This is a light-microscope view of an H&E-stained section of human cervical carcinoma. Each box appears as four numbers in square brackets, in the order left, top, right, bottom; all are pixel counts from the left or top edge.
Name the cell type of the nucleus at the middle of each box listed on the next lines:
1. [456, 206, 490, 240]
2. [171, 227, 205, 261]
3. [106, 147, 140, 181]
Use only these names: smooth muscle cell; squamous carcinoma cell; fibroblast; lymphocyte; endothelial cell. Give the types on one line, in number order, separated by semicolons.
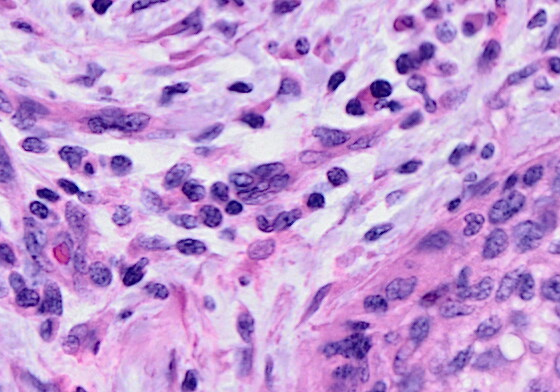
squamous carcinoma cell; lymphocyte; lymphocyte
